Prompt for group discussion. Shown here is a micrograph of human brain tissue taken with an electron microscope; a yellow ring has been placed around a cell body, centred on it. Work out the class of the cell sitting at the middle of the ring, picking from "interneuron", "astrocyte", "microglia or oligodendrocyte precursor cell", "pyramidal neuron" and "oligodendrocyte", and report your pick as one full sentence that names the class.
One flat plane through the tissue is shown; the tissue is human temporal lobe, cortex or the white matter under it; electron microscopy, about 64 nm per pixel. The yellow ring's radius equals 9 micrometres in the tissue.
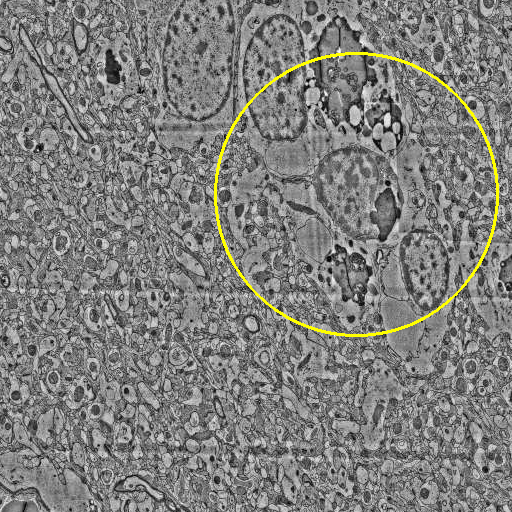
The cell sitting at the middle of the yellow ring is an oligodendrocyte.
